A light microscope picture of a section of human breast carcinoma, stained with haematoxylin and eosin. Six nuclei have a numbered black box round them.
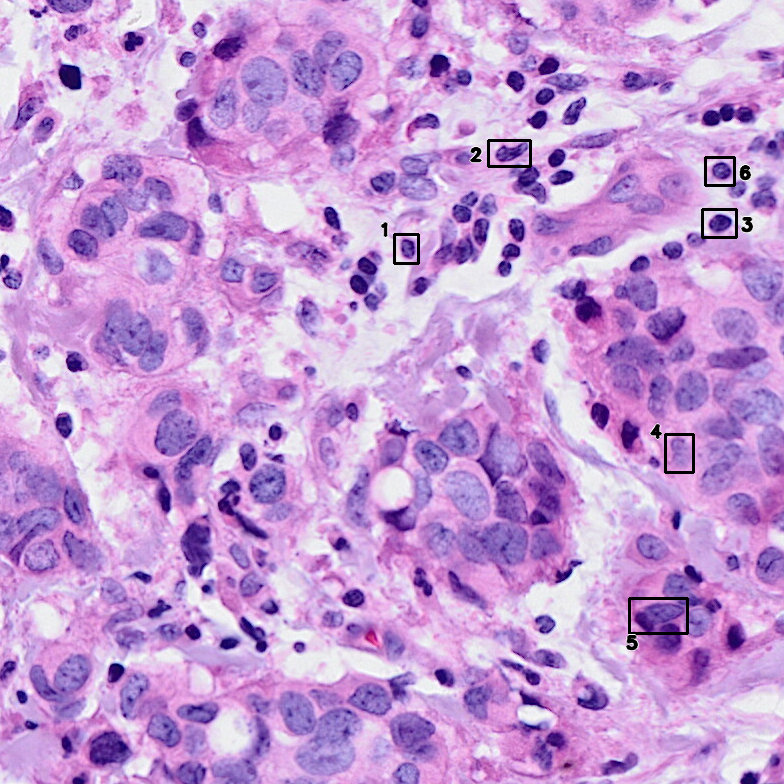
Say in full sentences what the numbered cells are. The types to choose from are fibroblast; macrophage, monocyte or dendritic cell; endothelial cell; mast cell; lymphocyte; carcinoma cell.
Cell 1 is a lymphocyte, cell 2 is a lymphocyte, cell 3 is a lymphocyte, cell 4 is a carcinoma cell, cell 5 is a carcinoma cell and cell 6 is a lymphocyte.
